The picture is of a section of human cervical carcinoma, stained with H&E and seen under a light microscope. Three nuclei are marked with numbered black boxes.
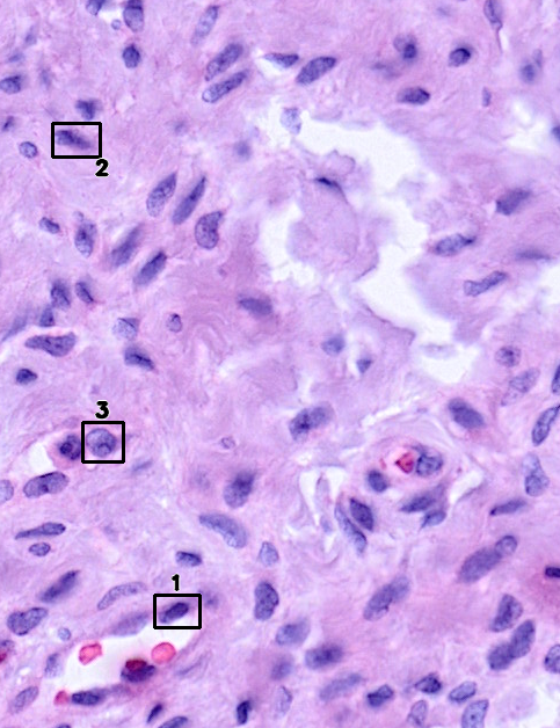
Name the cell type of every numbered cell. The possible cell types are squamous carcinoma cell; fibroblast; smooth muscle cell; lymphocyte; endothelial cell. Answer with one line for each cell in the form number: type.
1: endothelial cell
2: fibroblast
3: endothelial cell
